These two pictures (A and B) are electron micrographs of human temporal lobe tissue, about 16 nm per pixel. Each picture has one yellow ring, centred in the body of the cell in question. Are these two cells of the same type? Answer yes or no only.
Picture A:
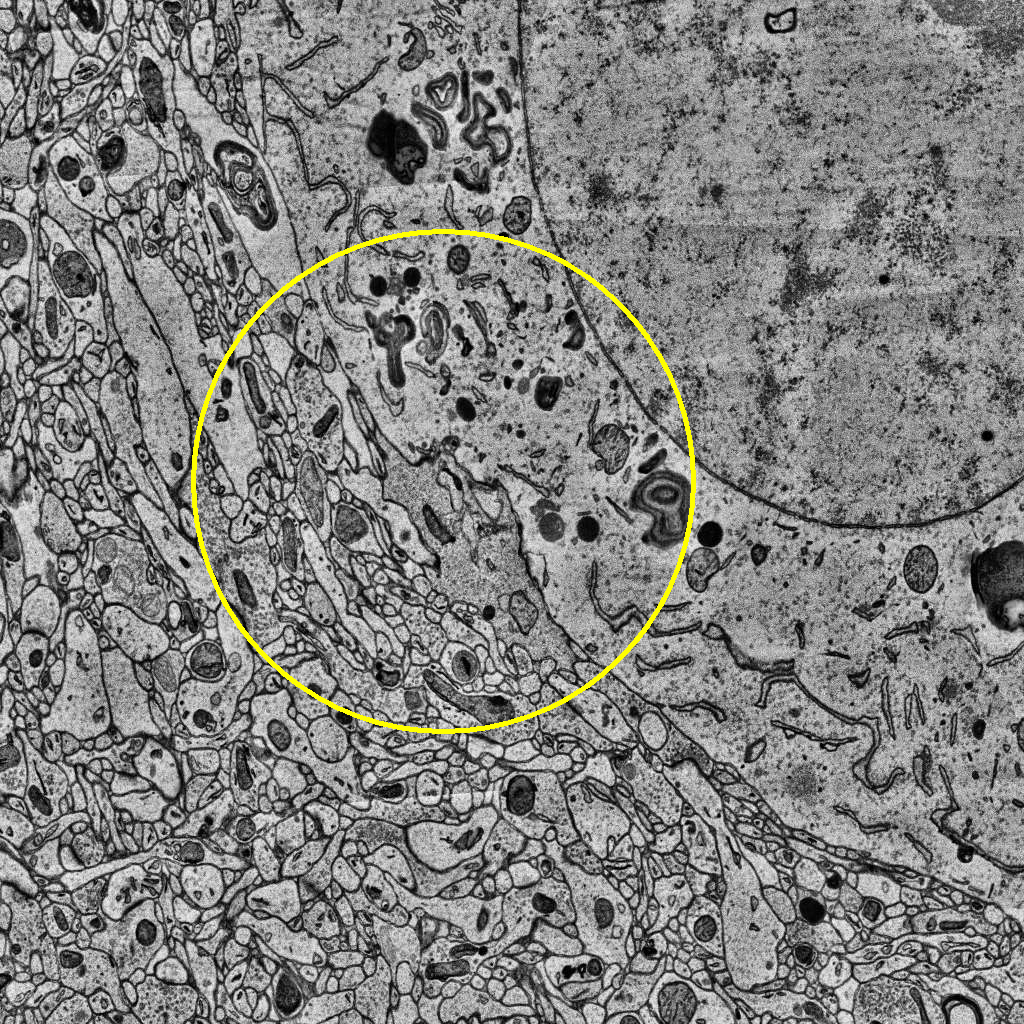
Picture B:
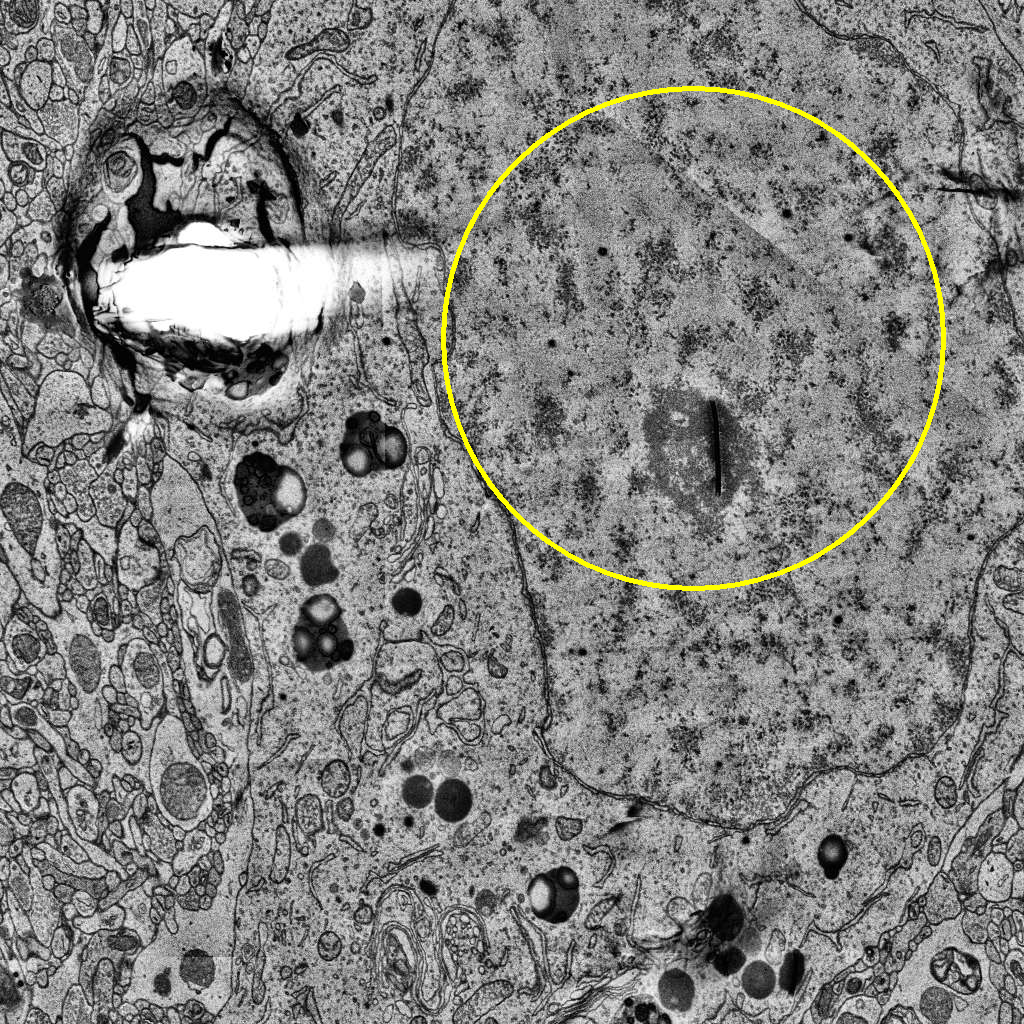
no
